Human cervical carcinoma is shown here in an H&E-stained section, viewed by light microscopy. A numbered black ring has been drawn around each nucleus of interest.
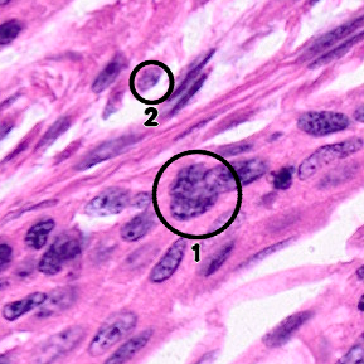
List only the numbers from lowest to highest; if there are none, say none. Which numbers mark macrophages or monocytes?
2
